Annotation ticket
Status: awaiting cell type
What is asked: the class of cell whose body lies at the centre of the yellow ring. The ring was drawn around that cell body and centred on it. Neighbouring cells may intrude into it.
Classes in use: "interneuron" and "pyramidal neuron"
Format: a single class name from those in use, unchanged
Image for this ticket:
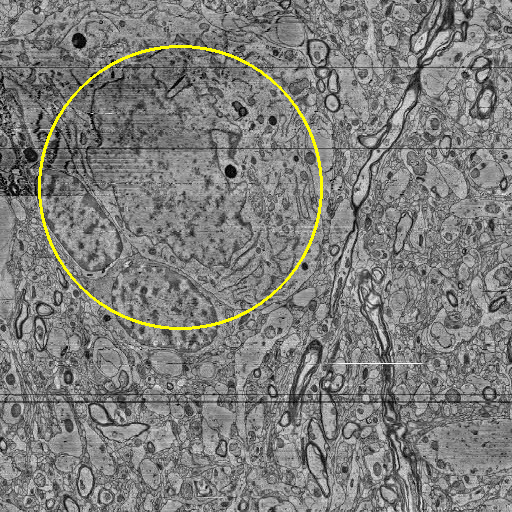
interneuron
